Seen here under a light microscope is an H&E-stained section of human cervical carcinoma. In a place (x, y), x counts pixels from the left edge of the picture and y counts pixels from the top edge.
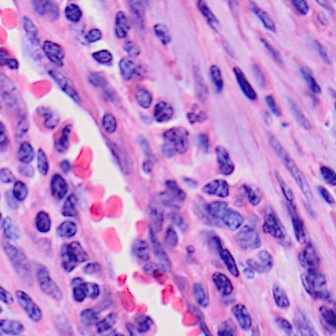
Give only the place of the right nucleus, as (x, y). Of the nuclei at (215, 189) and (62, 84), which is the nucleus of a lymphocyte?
(215, 189)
